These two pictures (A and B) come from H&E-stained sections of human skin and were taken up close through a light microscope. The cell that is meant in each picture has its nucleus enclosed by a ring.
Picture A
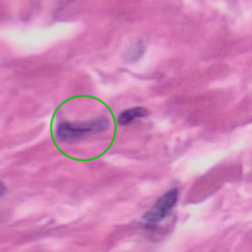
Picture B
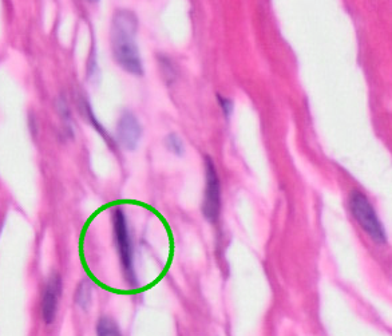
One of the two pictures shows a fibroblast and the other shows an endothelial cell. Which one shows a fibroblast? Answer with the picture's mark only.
A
